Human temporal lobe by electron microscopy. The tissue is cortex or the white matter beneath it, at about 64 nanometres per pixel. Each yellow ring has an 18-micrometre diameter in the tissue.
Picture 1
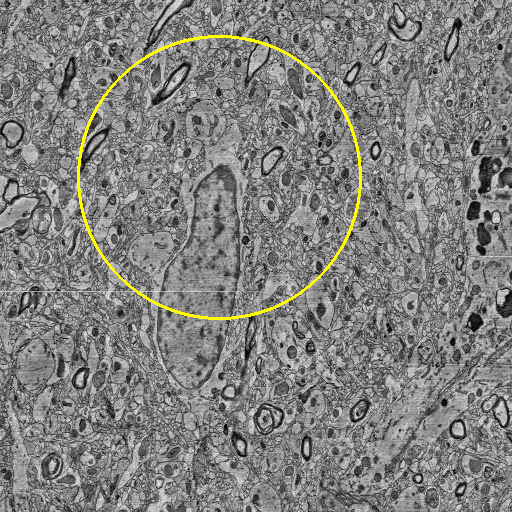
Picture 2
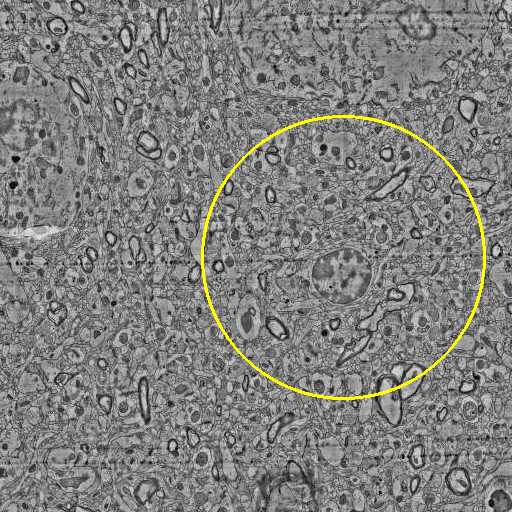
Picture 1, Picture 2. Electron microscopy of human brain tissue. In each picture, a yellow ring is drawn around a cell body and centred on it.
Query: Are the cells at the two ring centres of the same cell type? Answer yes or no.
yes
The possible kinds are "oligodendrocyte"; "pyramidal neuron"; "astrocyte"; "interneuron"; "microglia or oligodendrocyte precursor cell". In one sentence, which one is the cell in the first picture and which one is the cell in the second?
The second cell is a microglial cell or oligodendrocyte precursor cell, just as the first is.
